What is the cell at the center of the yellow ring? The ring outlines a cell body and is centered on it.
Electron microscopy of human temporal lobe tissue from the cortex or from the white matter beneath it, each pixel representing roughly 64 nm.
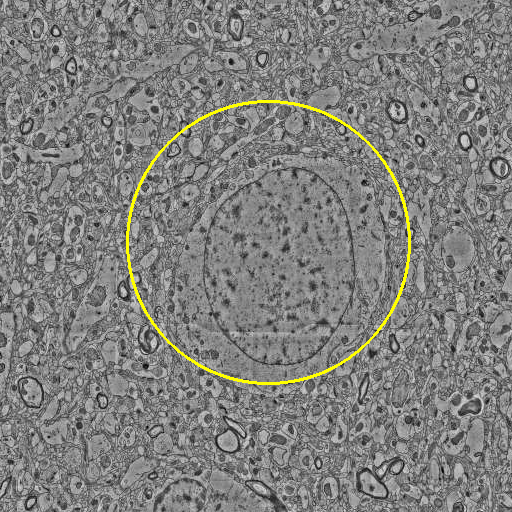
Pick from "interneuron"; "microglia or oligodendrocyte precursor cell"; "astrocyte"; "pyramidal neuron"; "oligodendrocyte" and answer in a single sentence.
The yellow ring is centered on a pyramidal neuron.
